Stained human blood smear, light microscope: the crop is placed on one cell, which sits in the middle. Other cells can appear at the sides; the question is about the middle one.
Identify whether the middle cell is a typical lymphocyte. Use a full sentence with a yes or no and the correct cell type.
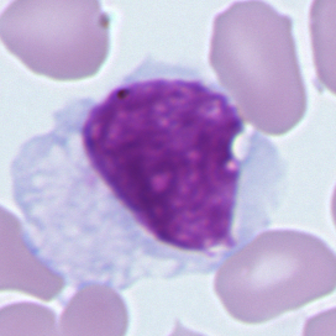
No, the cell sitting in the centre of the crop is a hairy cell, not a typical lymphocyte.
